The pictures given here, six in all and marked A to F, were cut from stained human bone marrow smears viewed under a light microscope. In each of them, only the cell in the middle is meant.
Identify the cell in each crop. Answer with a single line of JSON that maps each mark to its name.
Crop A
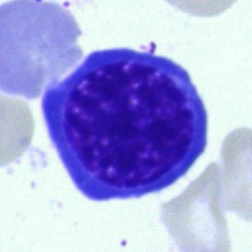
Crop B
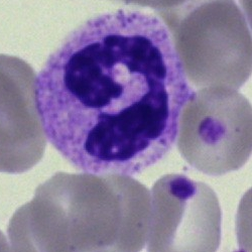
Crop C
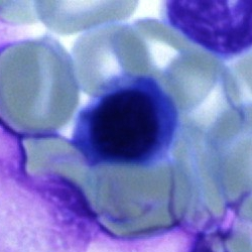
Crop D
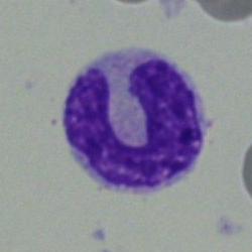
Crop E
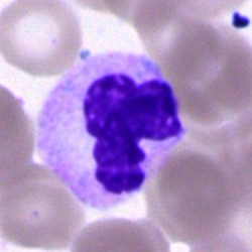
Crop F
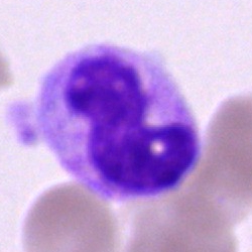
{"A": "erythroblast", "B": "segmented neutrophil", "C": "erythroblast", "D": "band neutrophil", "E": "segmented neutrophil", "F": "band neutrophil"}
